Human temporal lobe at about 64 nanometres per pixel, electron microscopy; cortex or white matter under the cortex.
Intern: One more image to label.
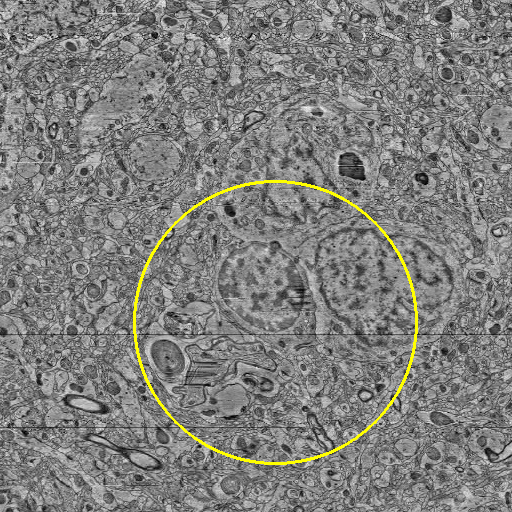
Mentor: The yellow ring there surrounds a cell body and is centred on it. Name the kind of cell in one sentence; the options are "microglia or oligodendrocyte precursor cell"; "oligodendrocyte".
The ring marks the cell body of an oligodendrocyte.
